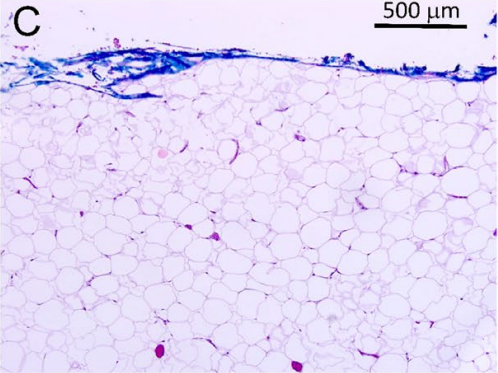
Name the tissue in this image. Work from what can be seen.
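The panel is filled with large, empty, rounded polygonal spaces bounded by thin pink membranes. Very few nuclei and no glands or dense stroma are present. Blue ink lies along the top surface. That points to this answer: fatty margin.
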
